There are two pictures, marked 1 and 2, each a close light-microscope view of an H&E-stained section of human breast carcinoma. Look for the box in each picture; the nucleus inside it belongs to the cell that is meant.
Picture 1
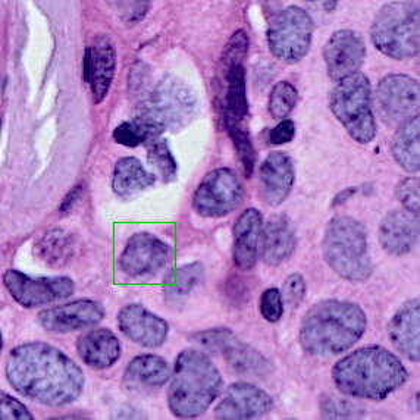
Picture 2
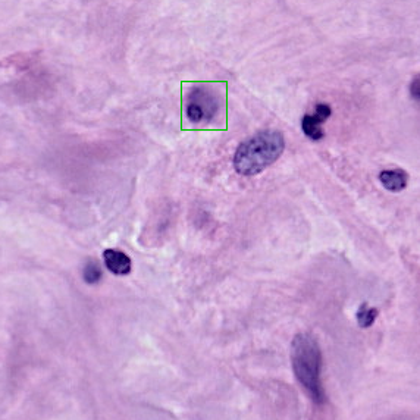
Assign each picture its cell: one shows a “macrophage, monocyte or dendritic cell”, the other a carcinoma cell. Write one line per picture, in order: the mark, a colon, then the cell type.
1: carcinoma cell
2: macrophage, monocyte or dendritic cell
